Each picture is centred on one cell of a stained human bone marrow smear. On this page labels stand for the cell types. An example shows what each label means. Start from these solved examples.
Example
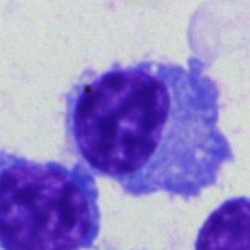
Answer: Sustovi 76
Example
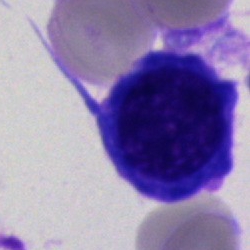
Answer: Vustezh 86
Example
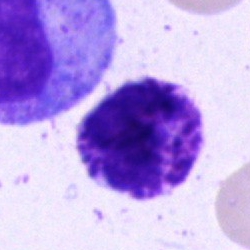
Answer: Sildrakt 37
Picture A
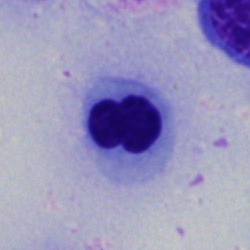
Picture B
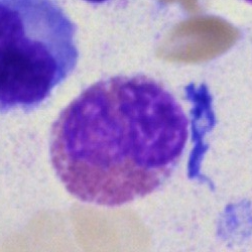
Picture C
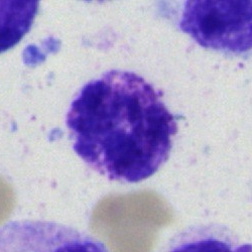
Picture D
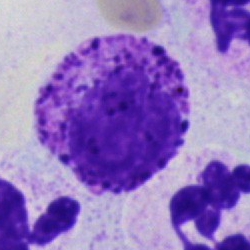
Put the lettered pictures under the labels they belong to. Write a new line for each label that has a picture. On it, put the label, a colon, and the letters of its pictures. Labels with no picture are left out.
Vustezh 86: A
Sildrakt 37: B, C, D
